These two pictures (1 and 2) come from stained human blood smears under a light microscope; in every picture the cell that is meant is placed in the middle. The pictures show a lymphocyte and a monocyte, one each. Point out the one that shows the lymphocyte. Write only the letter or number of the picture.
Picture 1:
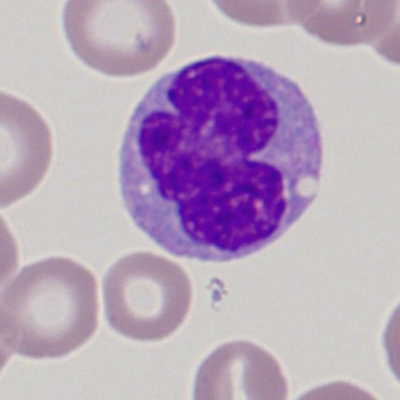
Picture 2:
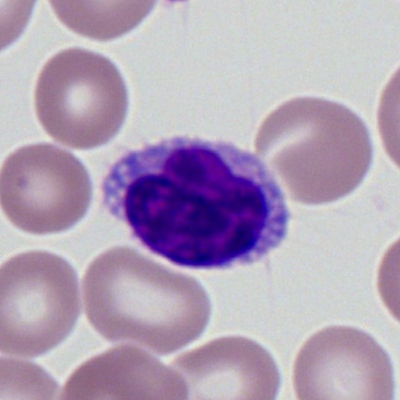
2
